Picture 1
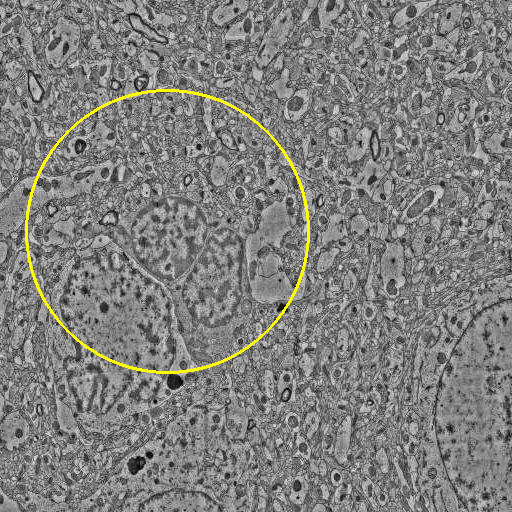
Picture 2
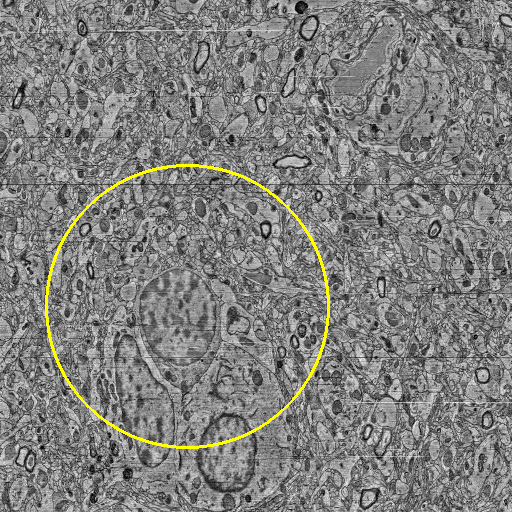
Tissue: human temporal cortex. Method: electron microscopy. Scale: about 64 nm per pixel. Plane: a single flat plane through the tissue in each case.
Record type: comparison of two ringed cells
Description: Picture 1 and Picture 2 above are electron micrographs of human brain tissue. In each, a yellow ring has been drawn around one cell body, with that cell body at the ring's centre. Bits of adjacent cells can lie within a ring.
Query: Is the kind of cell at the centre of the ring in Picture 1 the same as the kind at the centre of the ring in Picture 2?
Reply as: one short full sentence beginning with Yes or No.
Yes, the two ringed cells are of the same kind.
